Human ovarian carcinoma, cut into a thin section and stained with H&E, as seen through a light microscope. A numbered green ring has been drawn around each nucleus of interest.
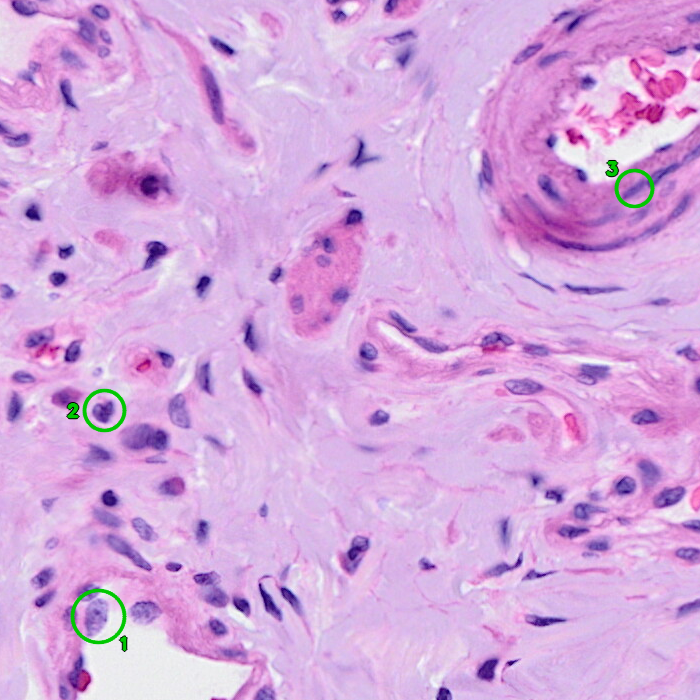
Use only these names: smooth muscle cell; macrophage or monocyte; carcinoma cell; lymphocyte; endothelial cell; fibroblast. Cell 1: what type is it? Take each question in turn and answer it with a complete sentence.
The cell given label 1 is an endothelial cell.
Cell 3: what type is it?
The cell to which the number 3 is assigned is a smooth muscle cell.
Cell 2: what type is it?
The cell whose nucleus carries the number 2 is a lymphocyte.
